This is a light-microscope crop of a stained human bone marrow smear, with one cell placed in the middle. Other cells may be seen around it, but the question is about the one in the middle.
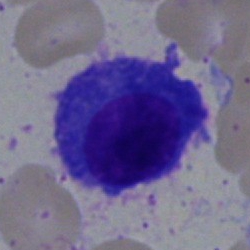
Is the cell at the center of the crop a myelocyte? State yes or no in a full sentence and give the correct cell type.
No, the cell in the middle is recognised as a plasma cell rather than a myelocyte.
